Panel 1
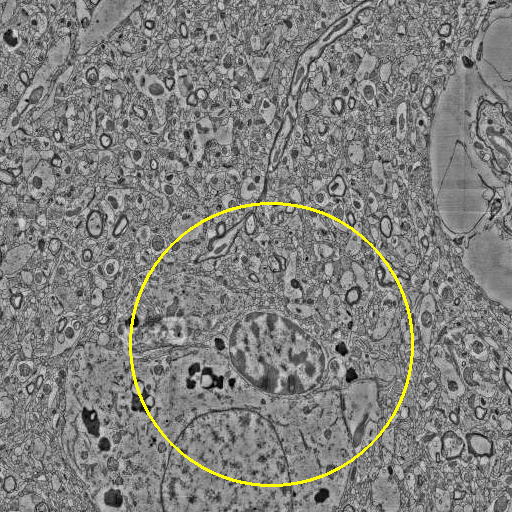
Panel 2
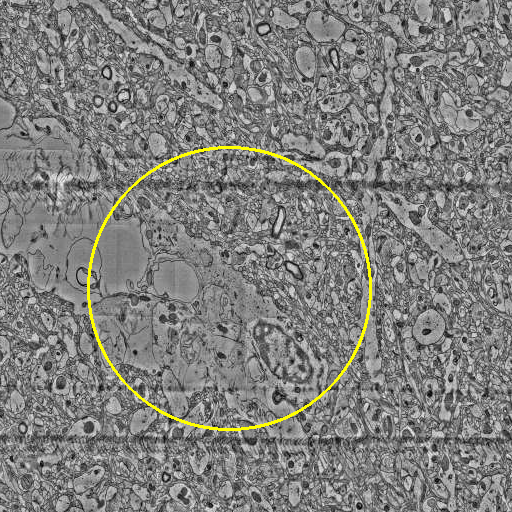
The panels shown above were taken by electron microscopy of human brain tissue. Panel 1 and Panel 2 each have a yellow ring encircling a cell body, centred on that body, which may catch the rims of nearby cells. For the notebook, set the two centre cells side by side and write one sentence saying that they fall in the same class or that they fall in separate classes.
The centred cells of Panel 1 and Panel 2 fall in the same class.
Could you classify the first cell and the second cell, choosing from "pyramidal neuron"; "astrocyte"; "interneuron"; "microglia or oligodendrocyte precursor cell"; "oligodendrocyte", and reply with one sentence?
The second cell is a microglial cell or oligodendrocyte precursor cell, just as the first is.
